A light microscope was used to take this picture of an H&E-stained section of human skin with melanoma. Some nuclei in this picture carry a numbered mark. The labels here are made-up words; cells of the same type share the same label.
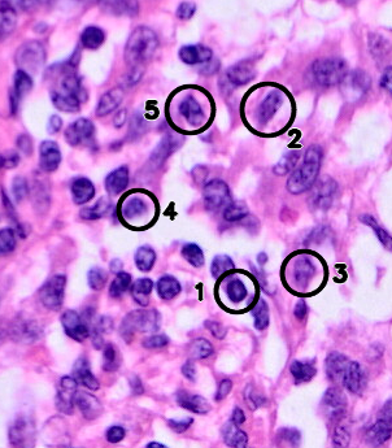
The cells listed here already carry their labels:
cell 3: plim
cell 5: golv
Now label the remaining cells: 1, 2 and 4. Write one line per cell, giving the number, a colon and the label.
1: golv
2: plim
4: golv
